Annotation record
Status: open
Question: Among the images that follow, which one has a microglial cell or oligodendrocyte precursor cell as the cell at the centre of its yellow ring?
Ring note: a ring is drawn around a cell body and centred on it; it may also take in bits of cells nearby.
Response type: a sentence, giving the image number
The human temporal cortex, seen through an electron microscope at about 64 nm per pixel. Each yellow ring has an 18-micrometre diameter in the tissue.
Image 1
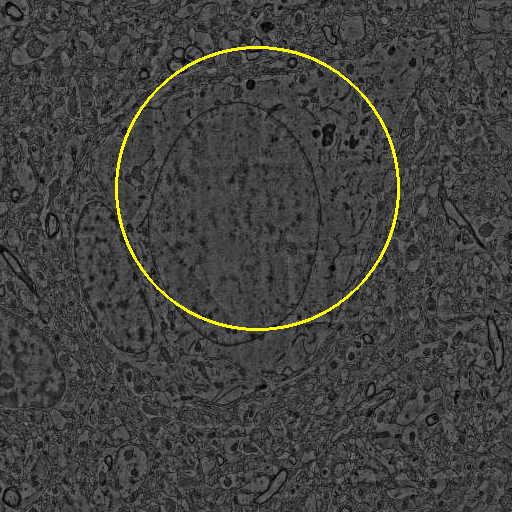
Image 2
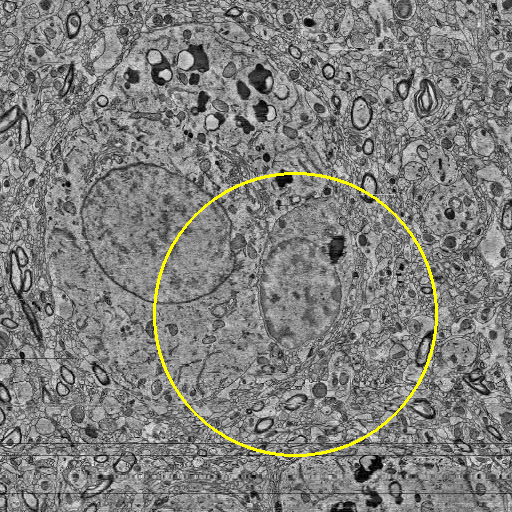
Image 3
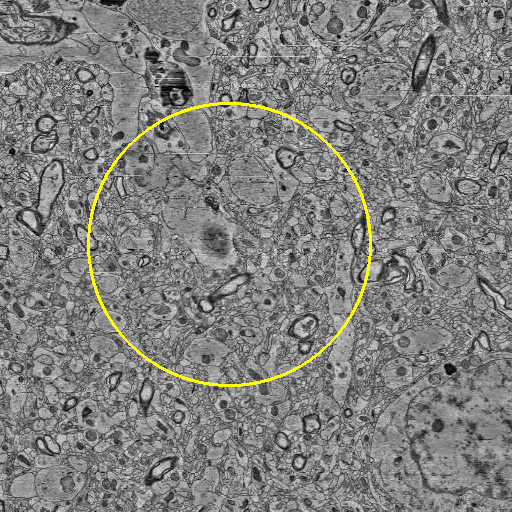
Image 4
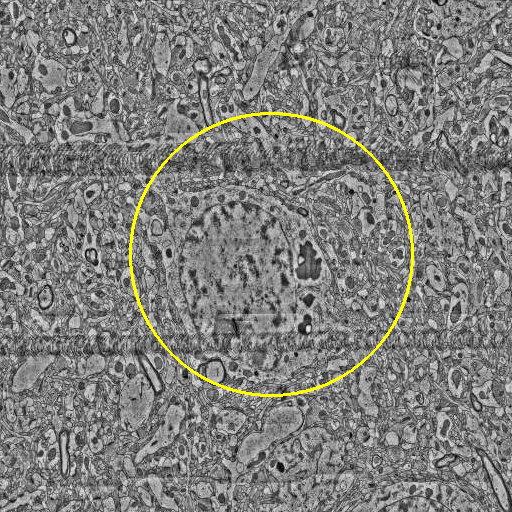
Image 3 shows it at the centre of its ring.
